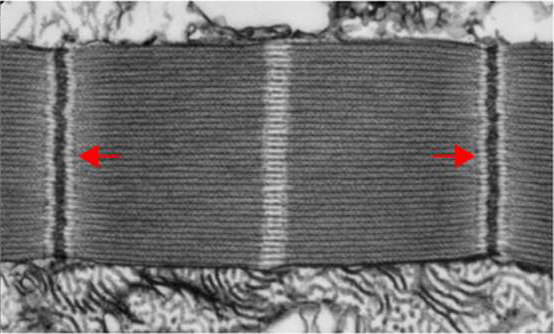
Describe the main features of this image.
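This electron micrograph shows one sarcomere of a muscle myofibril in longitudinal section, with its fine filaments running in parallel from side to side. At each end a dark, electron-dense Z-disc crosses the whole width of the filament bundle as a sharp band. Halfway between them a pale band, the M-line, marks the centre of the sarcomere. Above and below the myofibril lie folded membranous profiles outside the filament bundle.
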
